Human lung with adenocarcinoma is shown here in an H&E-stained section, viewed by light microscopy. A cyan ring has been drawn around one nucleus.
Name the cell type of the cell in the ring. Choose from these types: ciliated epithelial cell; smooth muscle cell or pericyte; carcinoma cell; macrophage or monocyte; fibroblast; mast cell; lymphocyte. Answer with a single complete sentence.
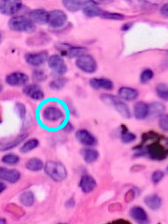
Placed in its cell category, the cell in the ring is a lymphocyte.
